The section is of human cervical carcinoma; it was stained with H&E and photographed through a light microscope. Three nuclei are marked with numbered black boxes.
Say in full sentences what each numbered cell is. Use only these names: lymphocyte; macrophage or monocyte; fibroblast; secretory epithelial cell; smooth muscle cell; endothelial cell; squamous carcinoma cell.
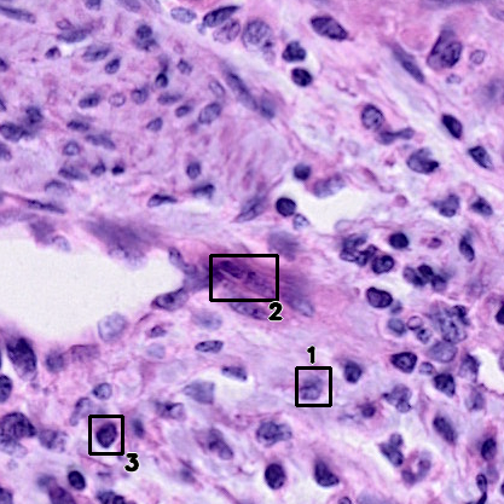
Cell 1 is a macrophage or monocyte. Cell 2 is an endothelial cell. Cell 3 is a lymphocyte.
